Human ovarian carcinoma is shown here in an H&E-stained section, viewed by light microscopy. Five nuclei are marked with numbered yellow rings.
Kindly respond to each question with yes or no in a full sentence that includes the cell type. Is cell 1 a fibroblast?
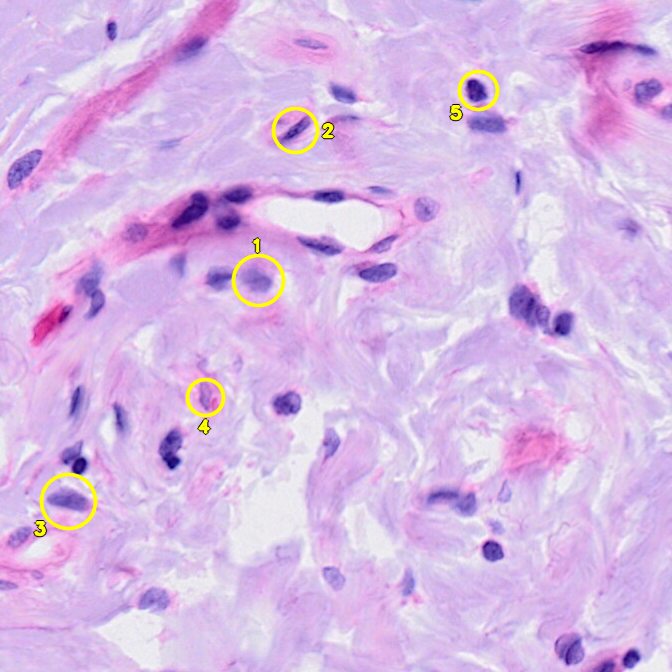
Yes, exactly, the cell numbered 1 is a fibroblast.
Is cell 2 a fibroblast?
No, cell 2 should be classed as an endothelial cell, not as a fibroblast.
